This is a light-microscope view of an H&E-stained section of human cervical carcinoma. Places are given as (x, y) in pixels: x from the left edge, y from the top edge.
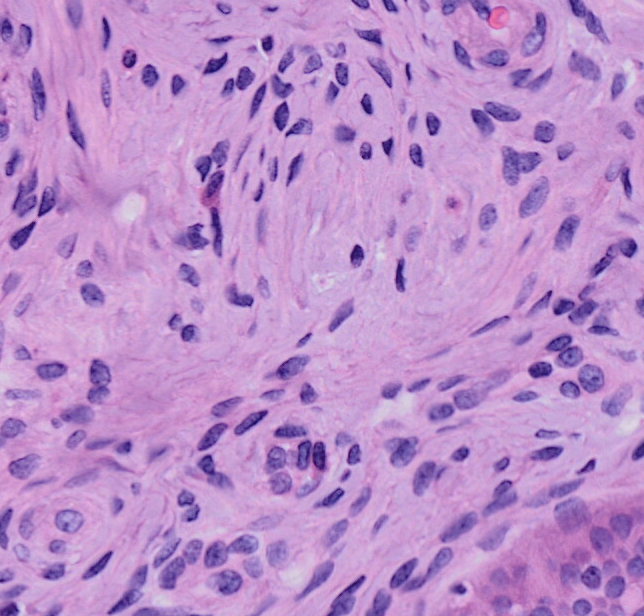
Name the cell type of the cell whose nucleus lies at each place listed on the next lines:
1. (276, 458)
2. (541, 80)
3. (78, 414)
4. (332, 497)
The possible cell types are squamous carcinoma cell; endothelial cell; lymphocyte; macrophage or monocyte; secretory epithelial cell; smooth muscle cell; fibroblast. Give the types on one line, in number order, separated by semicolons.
endothelial cell; fibroblast; fibroblast; fibroblast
